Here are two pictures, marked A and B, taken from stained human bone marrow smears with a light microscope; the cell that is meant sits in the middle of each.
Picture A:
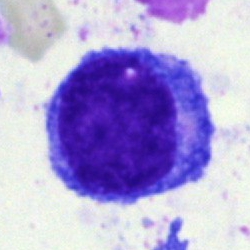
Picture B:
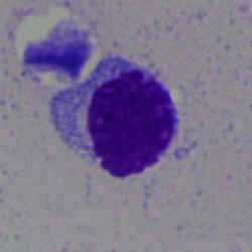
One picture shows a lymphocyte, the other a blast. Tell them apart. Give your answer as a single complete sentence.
Picture B shows a lymphocyte, while picture A shows a blast.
